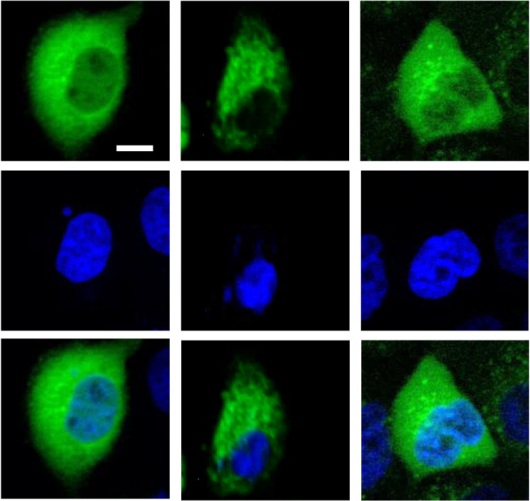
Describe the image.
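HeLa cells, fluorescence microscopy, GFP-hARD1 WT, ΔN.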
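In the left and right columns the green also lies faintly over the nucleus. In the middle column the nucleus stays dark and the cytoplasmic green has a stringy, network-like pattern.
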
